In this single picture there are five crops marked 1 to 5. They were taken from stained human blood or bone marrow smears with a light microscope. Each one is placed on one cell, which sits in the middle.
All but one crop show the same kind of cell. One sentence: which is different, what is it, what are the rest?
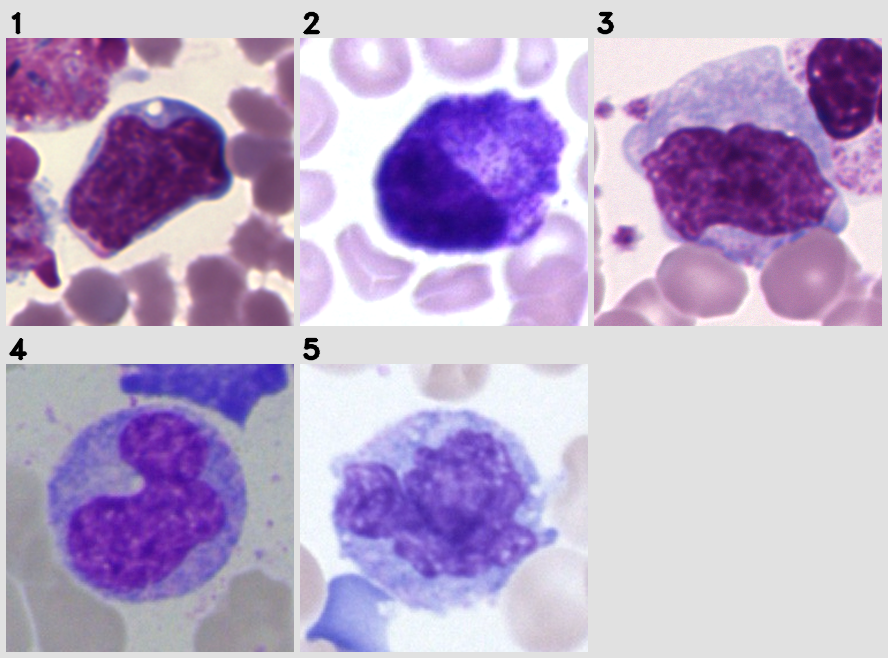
What sets crop 2 apart is that it shows a promyelocyte, while the others show monocytes.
